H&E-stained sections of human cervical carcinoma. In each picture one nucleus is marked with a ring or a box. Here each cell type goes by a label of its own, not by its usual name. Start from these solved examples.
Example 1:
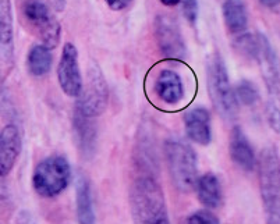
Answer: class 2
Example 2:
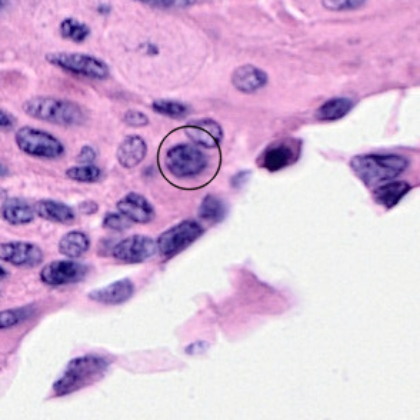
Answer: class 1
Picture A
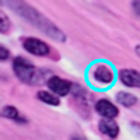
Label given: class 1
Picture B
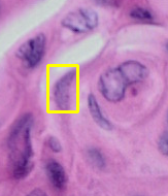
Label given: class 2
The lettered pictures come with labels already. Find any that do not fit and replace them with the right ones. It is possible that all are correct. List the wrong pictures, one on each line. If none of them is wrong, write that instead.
Wrong: A (class 1); correct: class 2
Wrong: B (class 2); correct: class 1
